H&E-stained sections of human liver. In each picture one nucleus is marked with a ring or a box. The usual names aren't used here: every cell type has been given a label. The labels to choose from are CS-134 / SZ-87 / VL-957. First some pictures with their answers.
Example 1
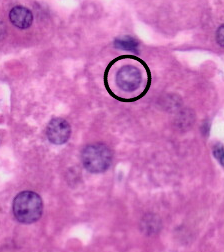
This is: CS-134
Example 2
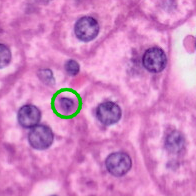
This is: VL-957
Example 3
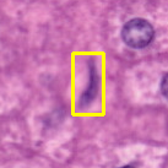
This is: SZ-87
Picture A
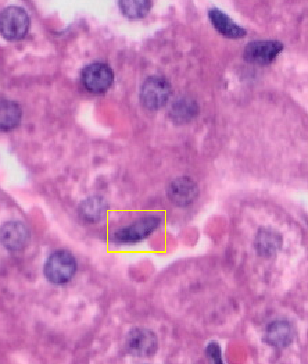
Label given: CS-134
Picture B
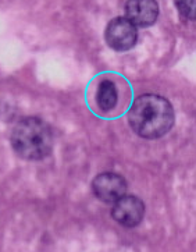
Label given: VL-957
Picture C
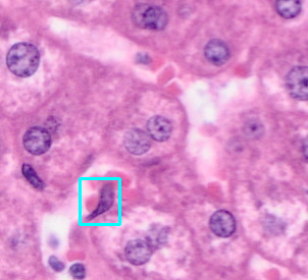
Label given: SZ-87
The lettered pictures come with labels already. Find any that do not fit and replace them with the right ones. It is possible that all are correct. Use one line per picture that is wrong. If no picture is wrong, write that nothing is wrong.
A should be SZ-87, not CS-134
